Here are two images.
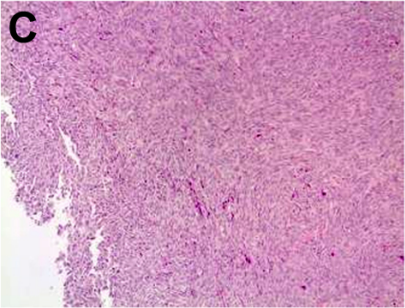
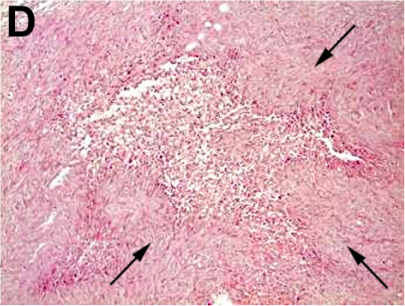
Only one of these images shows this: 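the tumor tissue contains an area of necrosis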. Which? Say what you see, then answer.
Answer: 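First image: dense, fairly uniform tissue of closely packed elongated cells without a pale, disrupted zone. Second image: a central irregular pale zone of fragmented, loosely arranged material with scattered debris, surrounded by more compact tissue.
Hence: the second image.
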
